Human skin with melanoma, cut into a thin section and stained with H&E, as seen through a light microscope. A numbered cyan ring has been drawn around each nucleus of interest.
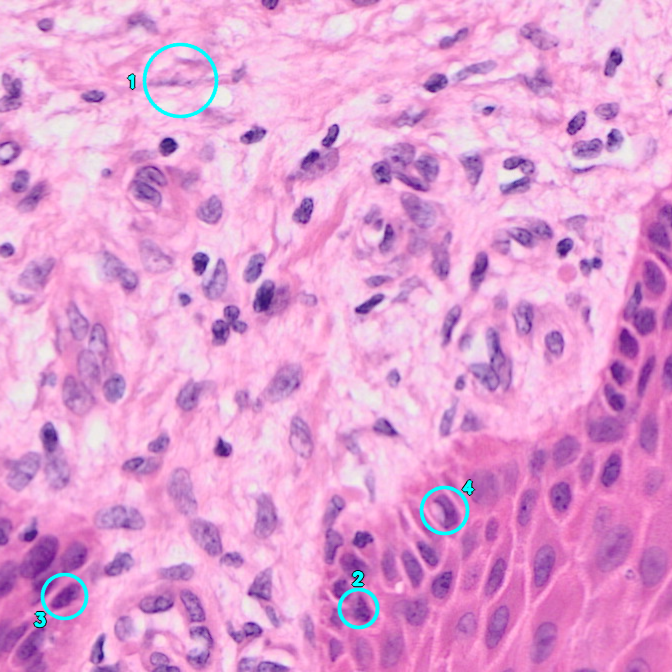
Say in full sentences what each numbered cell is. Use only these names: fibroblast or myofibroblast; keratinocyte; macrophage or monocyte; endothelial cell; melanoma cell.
Cell 1 is a fibroblast or myofibroblast. Cells 2, 3 and 4 are keratinocytes.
